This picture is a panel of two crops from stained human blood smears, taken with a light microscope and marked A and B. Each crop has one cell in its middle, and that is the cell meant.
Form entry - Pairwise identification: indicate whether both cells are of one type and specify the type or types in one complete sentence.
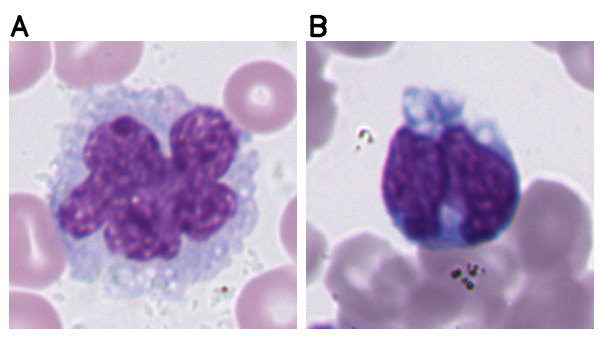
Yes, shown in both crops are monocytes.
